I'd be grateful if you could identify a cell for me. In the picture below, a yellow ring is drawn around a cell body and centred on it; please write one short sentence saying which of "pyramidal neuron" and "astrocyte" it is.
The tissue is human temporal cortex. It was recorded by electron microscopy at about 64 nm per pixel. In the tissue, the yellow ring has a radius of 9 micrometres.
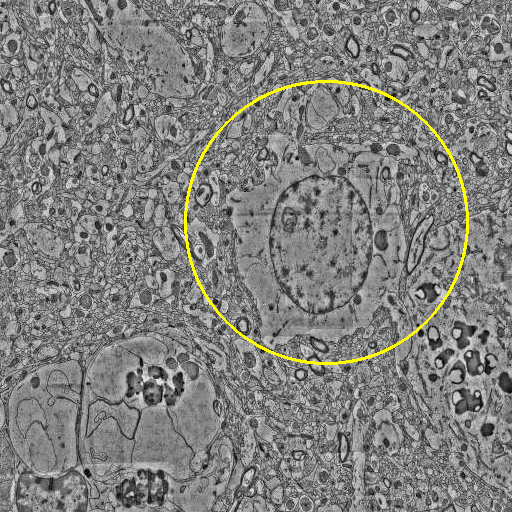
The cell under the ring's centre is an astrocyte.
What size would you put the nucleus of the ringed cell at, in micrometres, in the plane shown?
In this plane, about 9 micrometres in length and 7 in width.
